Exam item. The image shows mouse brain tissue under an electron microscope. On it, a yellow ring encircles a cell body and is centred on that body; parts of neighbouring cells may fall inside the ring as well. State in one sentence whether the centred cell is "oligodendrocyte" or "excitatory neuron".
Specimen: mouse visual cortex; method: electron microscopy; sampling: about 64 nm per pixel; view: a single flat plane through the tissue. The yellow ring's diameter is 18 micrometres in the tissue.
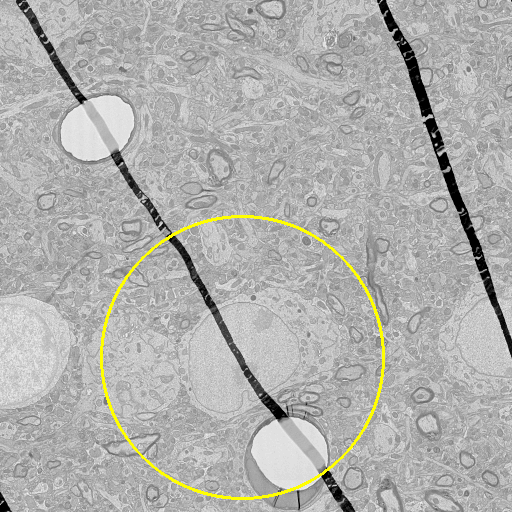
The cell body centred in the ring is an excitatory neuron.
